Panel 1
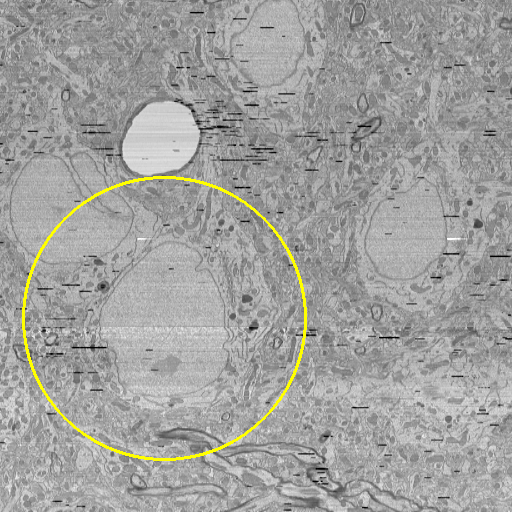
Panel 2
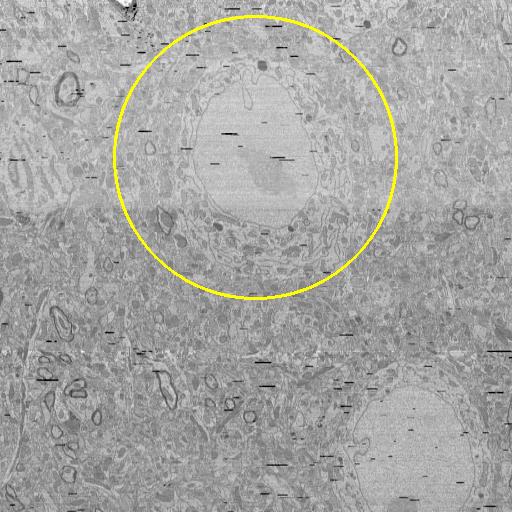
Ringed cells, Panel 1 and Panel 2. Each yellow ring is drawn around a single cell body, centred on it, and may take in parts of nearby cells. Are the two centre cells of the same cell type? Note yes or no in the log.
yes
